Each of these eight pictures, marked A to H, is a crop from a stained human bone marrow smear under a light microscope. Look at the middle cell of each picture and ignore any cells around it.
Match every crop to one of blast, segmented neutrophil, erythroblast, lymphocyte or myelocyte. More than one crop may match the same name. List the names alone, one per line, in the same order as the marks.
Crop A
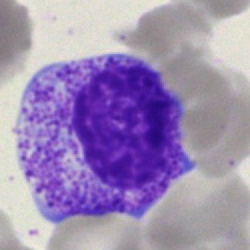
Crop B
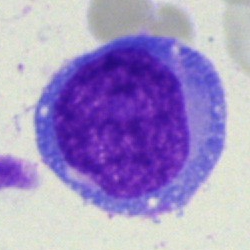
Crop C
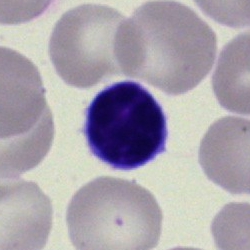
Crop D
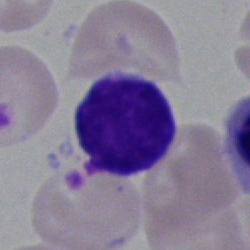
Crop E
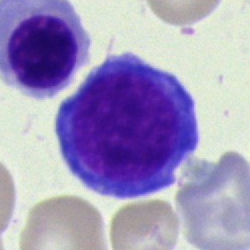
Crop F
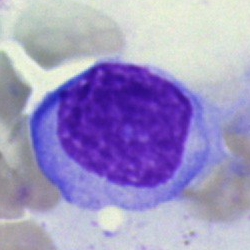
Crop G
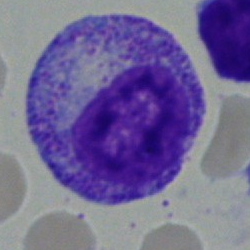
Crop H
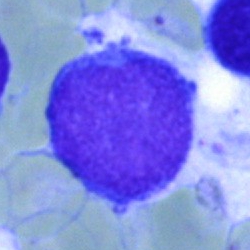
myelocyte
blast
lymphocyte
lymphocyte
erythroblast
blast
myelocyte
blast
